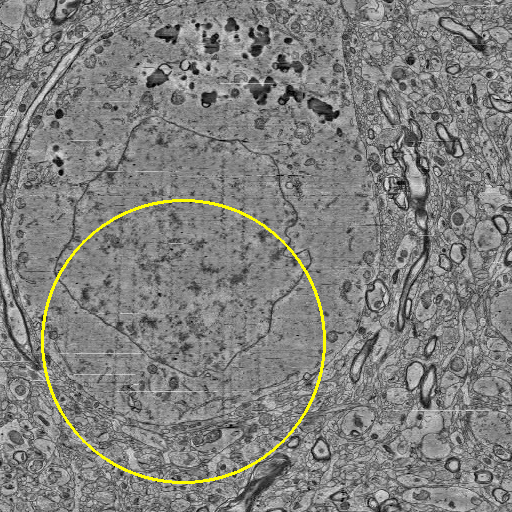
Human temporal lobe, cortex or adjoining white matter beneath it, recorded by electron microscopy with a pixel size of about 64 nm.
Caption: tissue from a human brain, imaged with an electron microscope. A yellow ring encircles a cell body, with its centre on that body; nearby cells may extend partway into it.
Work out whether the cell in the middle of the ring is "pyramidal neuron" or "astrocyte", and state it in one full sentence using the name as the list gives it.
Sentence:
In the picture, the cell that the yellow ring surrounds at its centre is a pyramidal neuron.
